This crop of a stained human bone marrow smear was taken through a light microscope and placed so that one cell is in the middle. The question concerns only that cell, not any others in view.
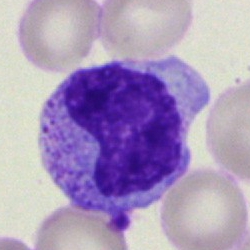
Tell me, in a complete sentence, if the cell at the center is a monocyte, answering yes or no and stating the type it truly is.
No, the centrally placed cell is a metamyelocyte, not a monocyte.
